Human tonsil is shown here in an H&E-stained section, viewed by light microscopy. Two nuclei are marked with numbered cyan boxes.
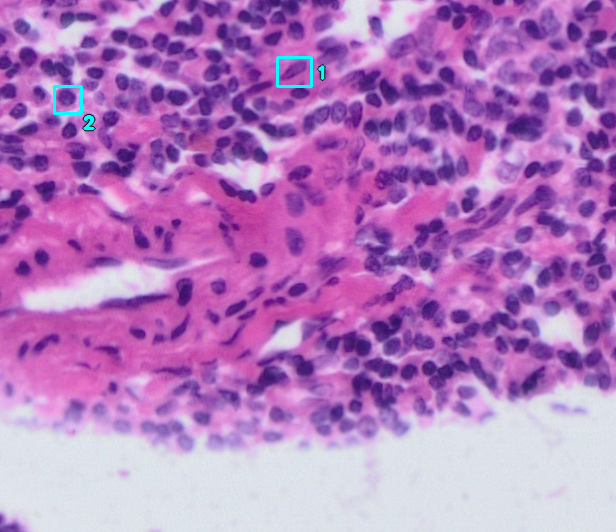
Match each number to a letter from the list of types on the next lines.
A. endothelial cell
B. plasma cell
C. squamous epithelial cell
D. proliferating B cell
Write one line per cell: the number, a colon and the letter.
1: A
2: B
